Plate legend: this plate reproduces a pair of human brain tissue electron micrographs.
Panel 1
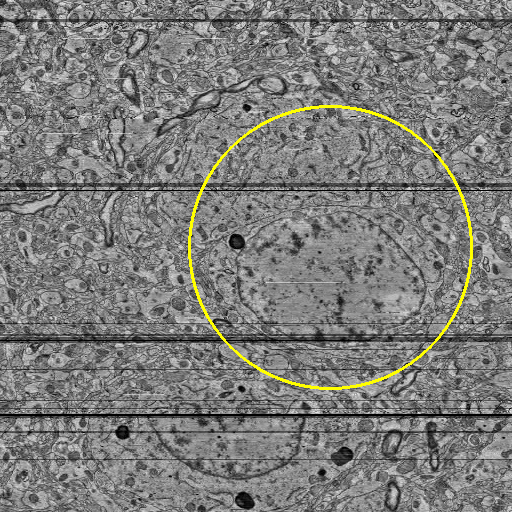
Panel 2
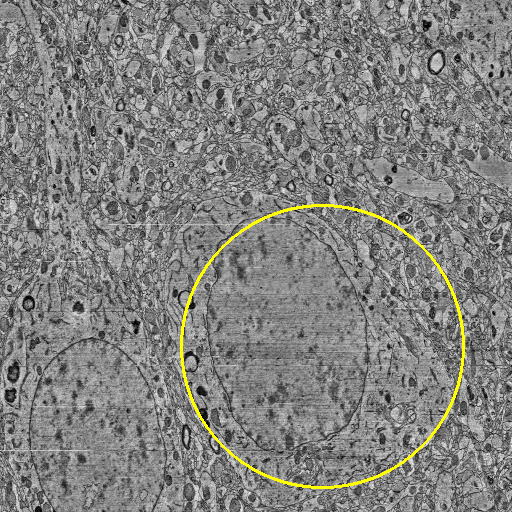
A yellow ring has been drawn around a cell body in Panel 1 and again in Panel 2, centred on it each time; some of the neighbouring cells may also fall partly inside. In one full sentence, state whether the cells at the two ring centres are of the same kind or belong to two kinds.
The ring-centred cells of Panel 1 and Panel 2 are of the same kind.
